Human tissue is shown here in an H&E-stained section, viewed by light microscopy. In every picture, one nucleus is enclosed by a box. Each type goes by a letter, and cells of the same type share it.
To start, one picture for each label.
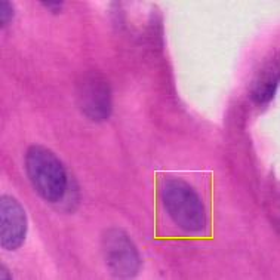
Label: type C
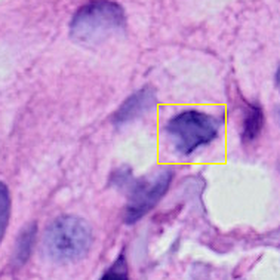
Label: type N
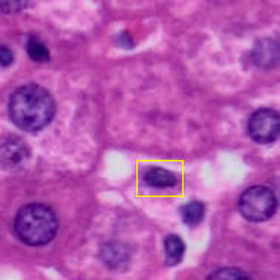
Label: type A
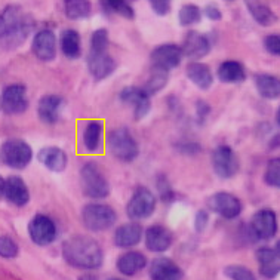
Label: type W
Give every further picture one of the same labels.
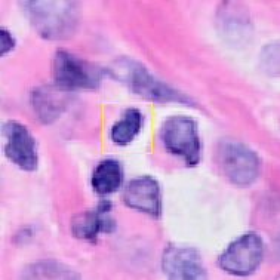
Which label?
type W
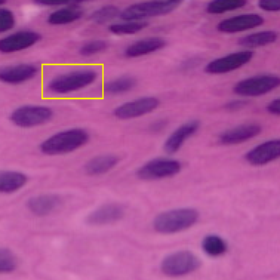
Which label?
type C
